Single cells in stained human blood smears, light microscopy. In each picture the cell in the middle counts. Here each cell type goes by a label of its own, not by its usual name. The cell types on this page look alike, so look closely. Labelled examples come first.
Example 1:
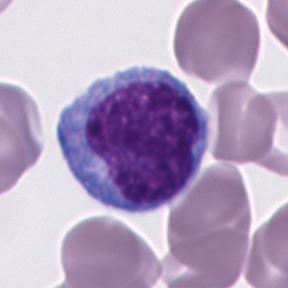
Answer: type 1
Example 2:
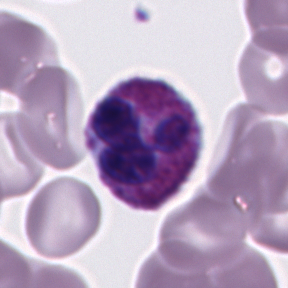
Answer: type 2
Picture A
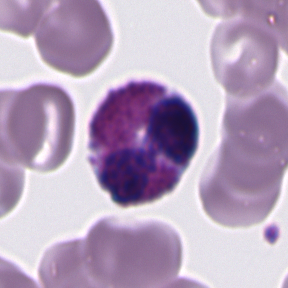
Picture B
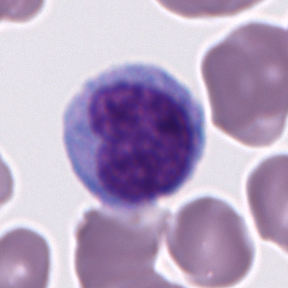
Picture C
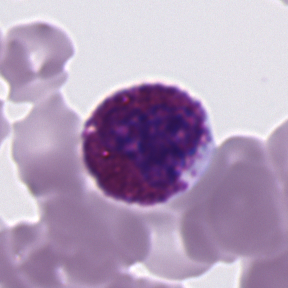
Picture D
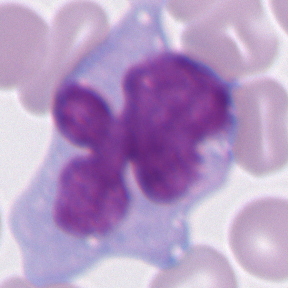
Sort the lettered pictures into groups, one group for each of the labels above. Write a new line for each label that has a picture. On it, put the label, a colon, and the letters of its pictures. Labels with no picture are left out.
type 1: B, D
type 2: A, C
